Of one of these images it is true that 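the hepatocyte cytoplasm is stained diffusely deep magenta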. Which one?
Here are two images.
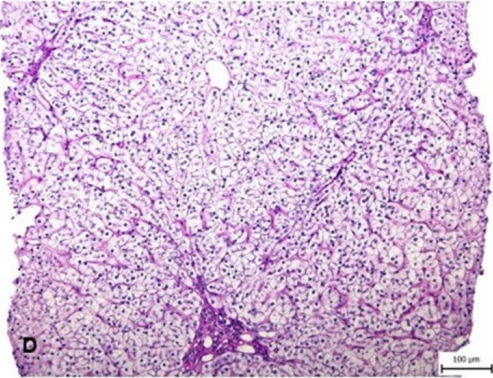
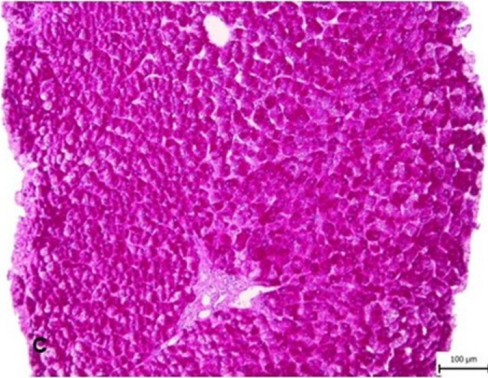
The second image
